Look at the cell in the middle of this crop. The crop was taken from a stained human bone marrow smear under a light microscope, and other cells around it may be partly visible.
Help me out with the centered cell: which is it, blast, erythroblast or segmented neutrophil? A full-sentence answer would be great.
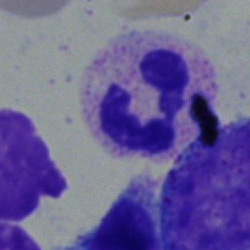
What sits at the centre of this crop is a segmented neutrophil.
